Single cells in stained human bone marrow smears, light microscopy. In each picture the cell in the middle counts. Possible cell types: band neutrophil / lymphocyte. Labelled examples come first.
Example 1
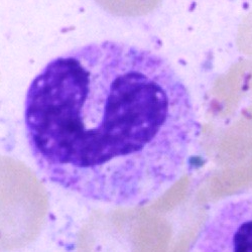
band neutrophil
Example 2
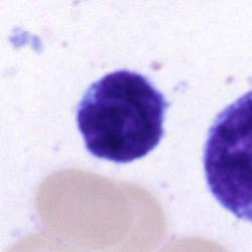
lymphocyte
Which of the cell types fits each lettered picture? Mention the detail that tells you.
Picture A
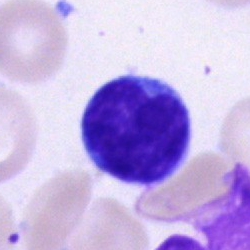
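Answer: lymphocyte. Cytoplasm is scant, seen mainly as a small pale blue patch at the top edge.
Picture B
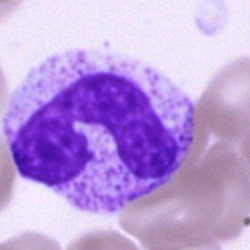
Answer: band neutrophil. The nucleus is a thick curved band bent into a horseshoe whose open side faces downward.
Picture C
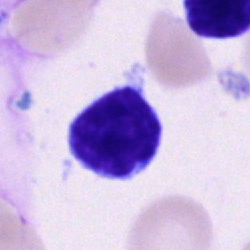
Answer: lymphocyte. The nucleus fills almost the entire cell, leaving at most a barely visible rim of cytoplasm.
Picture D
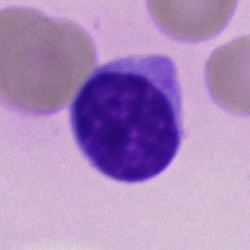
Answer: lymphocyte. The cytoplasm is scant and lies mainly as a cap on the upper right side of the nucleus.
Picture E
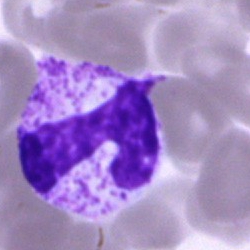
Answer: band neutrophil. Numerous purple granules are scattered throughout the cytoplasm.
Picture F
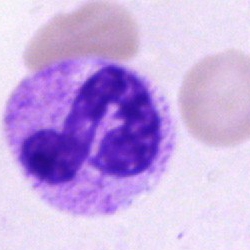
Answer: band neutrophil. Fine purple granules are scattered throughout the cytoplasm.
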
